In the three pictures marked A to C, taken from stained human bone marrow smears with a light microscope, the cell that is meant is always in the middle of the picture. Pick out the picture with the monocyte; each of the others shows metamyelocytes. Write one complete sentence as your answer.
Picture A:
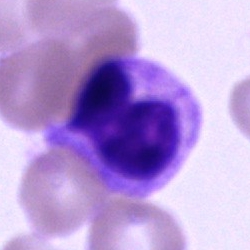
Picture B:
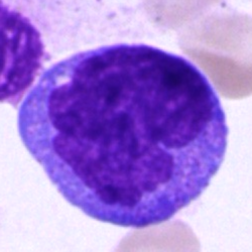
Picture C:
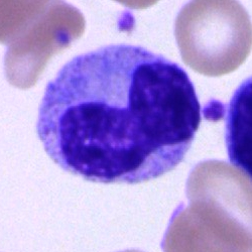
The monocyte is the one in picture B.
